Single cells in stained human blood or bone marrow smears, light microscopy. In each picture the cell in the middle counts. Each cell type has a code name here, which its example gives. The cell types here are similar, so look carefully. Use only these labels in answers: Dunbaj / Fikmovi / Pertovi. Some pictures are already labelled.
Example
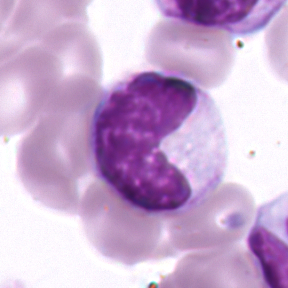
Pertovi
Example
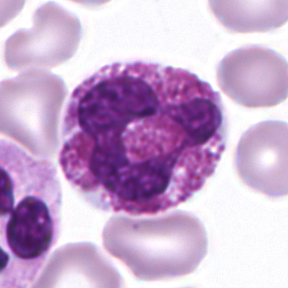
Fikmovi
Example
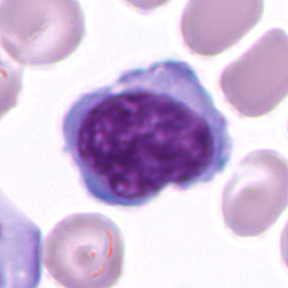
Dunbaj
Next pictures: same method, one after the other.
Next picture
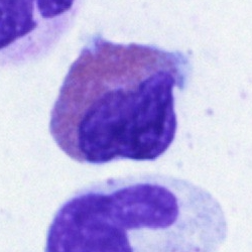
Fikmovi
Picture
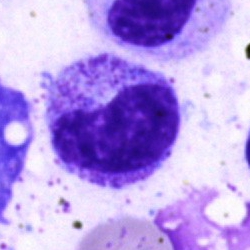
Pertovi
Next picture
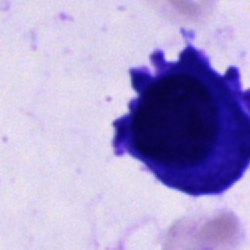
Dunbaj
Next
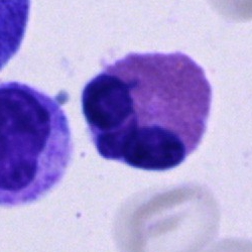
Fikmovi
